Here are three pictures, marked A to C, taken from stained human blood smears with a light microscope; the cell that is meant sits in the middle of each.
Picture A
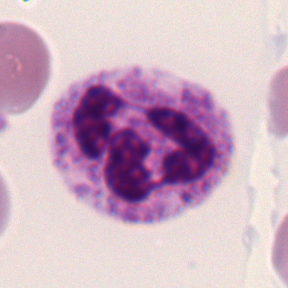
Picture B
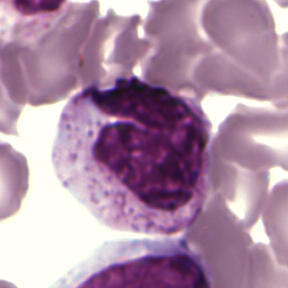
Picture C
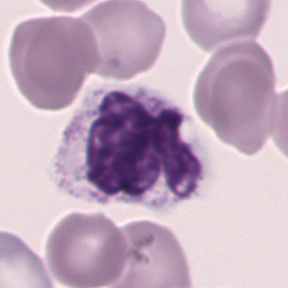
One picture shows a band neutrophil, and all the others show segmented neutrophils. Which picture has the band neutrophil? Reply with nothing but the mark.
B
